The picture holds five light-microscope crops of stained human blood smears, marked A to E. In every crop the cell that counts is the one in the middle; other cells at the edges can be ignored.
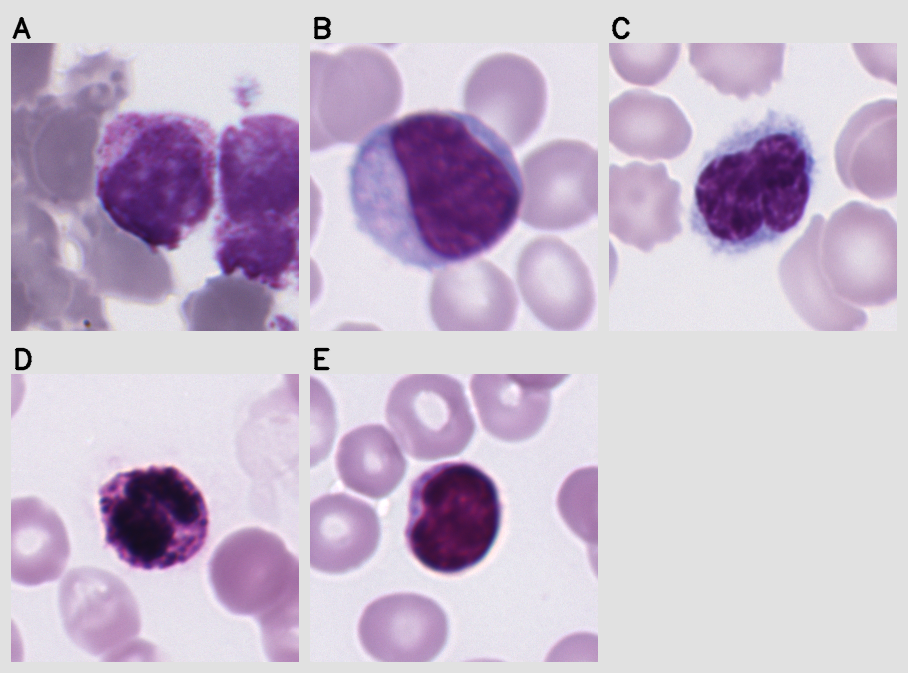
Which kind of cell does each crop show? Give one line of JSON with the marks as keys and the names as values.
{"A": "basophil", "B": "typical lymphocyte", "C": "hairy cell", "D": "basophil", "E": "large granular lymphocyte"}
